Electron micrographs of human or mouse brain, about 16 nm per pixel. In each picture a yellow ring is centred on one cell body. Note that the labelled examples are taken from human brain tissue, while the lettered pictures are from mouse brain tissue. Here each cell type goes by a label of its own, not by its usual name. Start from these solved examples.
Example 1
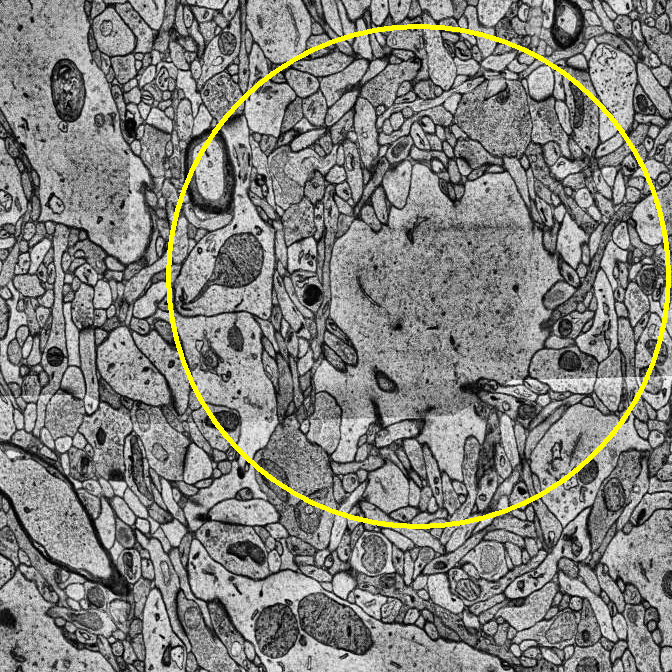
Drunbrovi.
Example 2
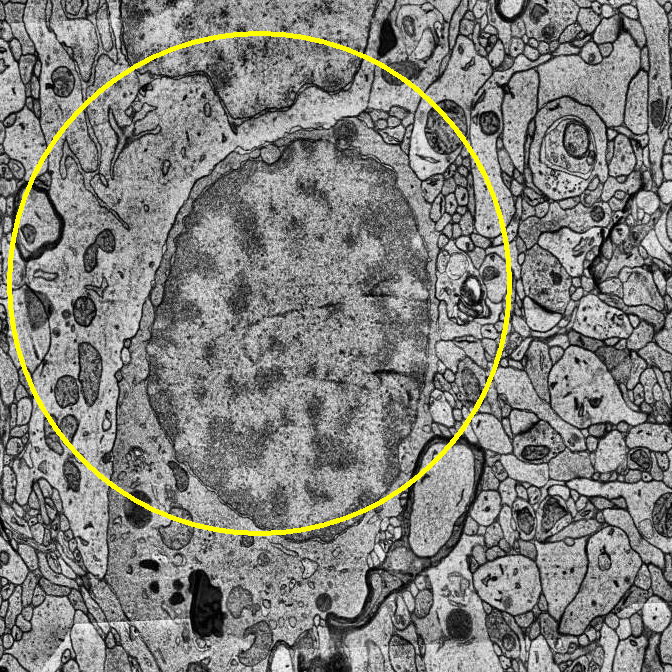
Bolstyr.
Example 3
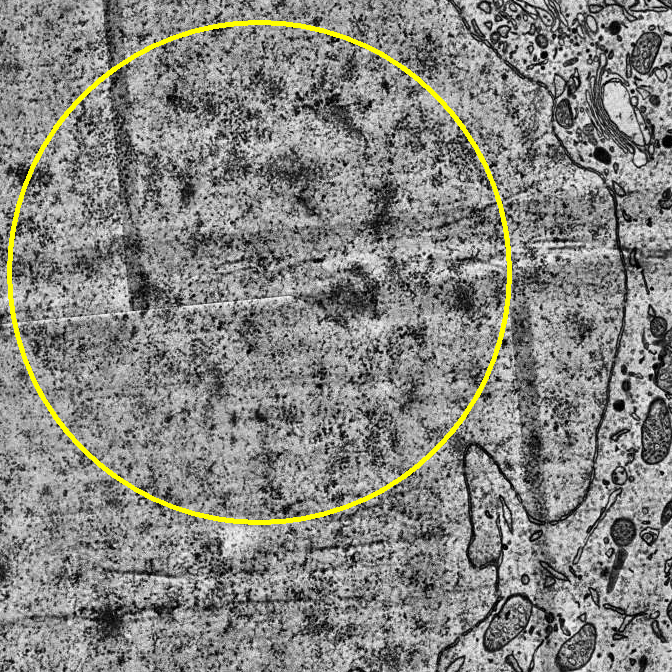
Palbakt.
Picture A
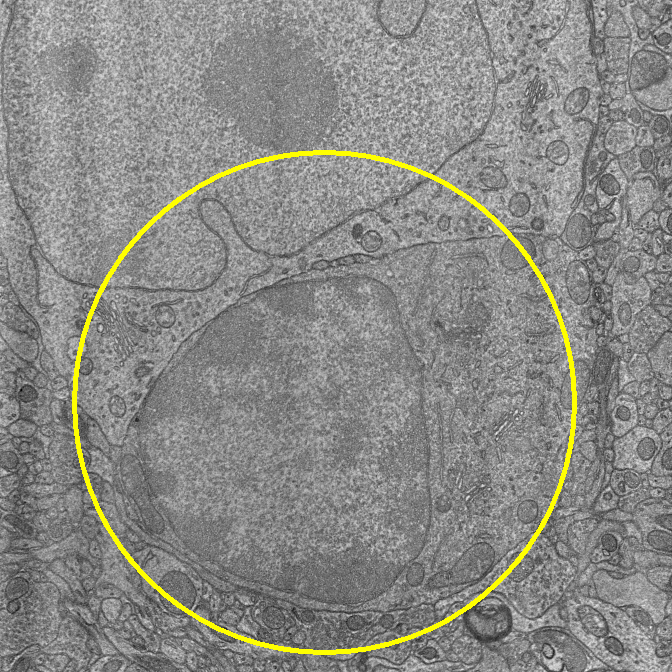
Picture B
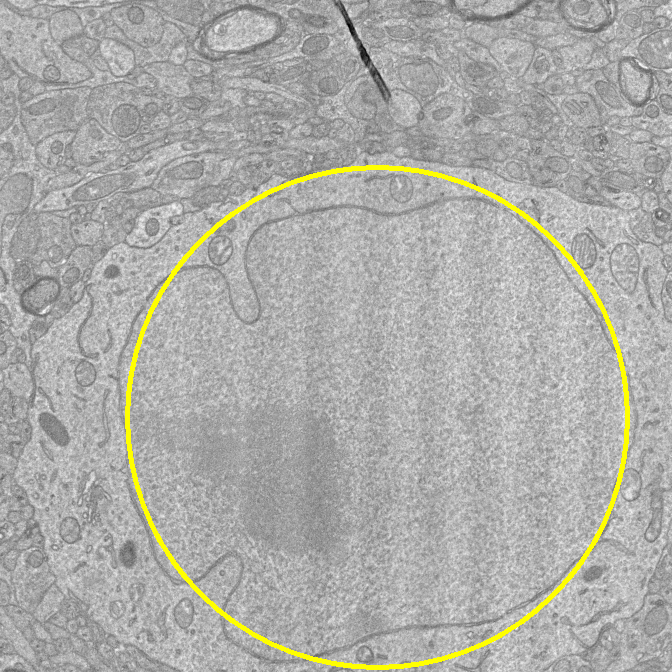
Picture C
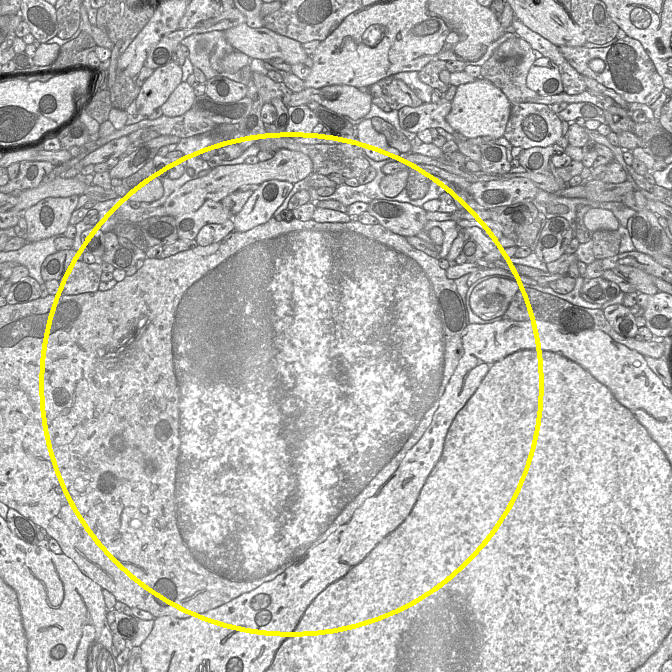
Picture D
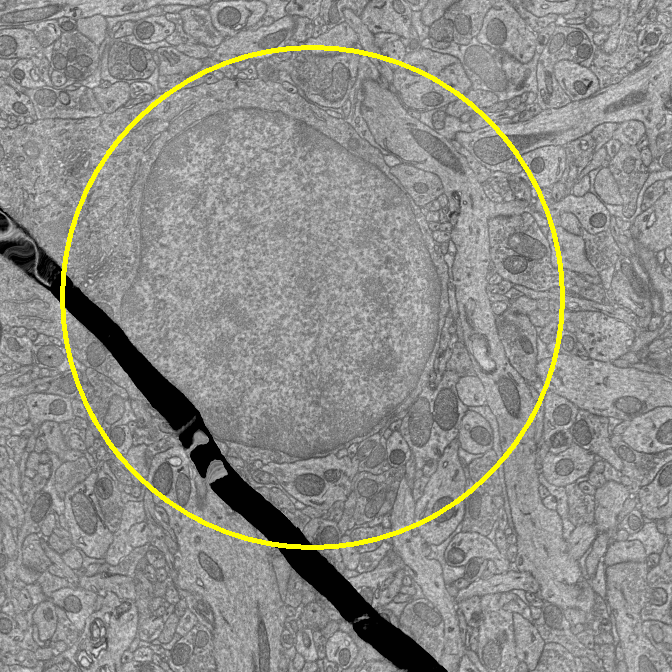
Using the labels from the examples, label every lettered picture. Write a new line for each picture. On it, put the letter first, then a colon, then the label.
A: Bolstyr.
B: Palbakt.
C: Bolstyr.
D: Bolstyr.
